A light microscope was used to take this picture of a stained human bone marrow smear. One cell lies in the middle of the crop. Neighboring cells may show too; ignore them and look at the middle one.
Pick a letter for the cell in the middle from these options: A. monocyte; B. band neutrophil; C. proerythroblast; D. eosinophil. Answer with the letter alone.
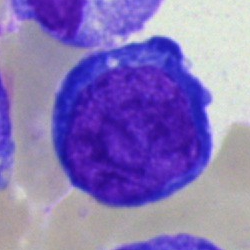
C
